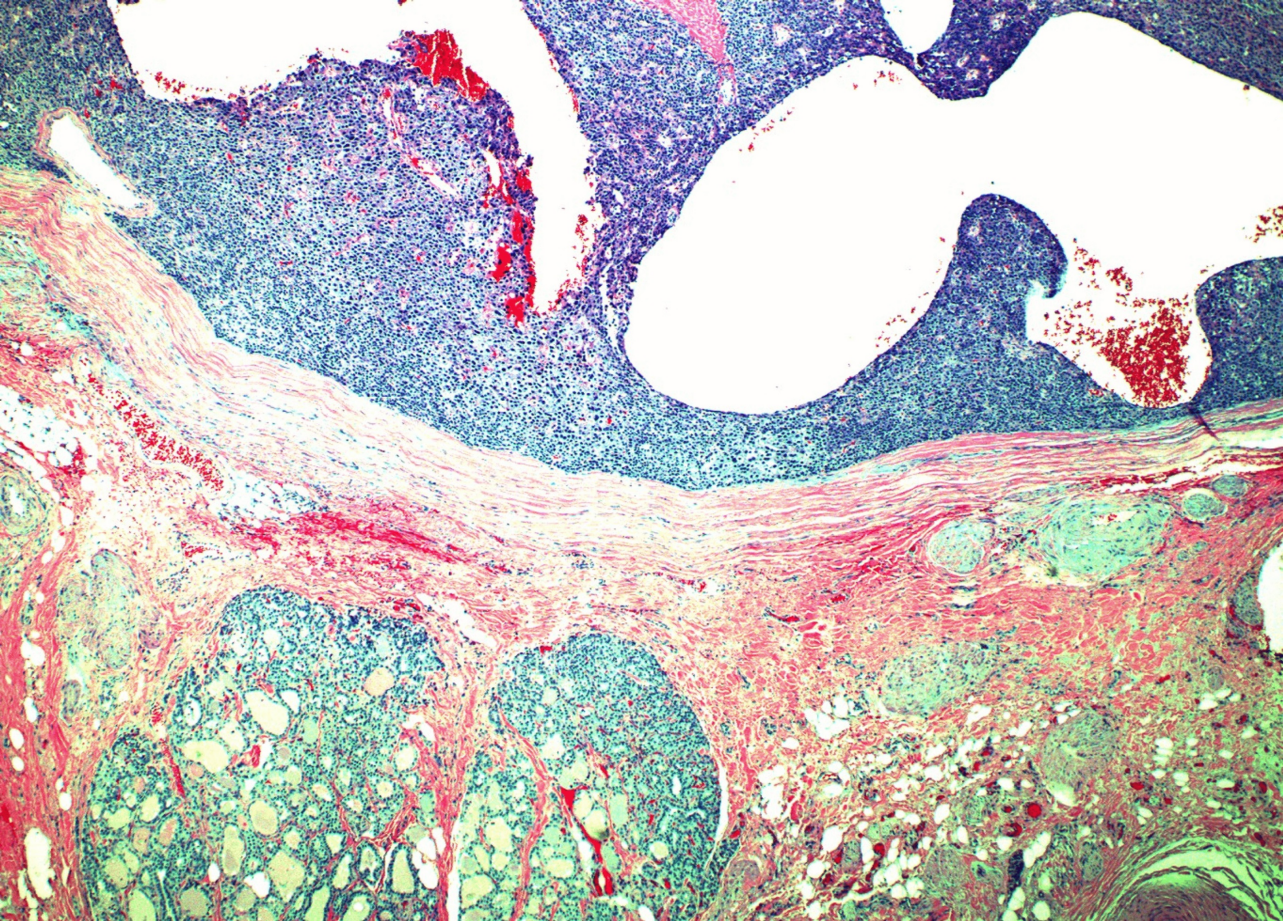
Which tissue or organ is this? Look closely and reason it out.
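The lower part of the panel has many round follicles filled with pale homogeneous colloid.
Hence: thyroid gland.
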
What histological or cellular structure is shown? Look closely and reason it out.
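Thick fibrous capsule. A broad band of wavy, pink-red collagen fibres runs across the middle of the panel. The band separates the upper densely cellular tissue from the lower follicular tissue.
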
